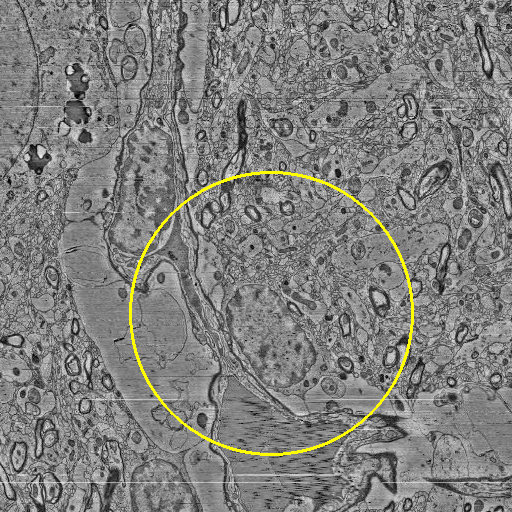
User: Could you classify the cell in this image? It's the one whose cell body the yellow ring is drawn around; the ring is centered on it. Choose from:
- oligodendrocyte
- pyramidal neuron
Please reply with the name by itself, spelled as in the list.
oligodendrocyte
